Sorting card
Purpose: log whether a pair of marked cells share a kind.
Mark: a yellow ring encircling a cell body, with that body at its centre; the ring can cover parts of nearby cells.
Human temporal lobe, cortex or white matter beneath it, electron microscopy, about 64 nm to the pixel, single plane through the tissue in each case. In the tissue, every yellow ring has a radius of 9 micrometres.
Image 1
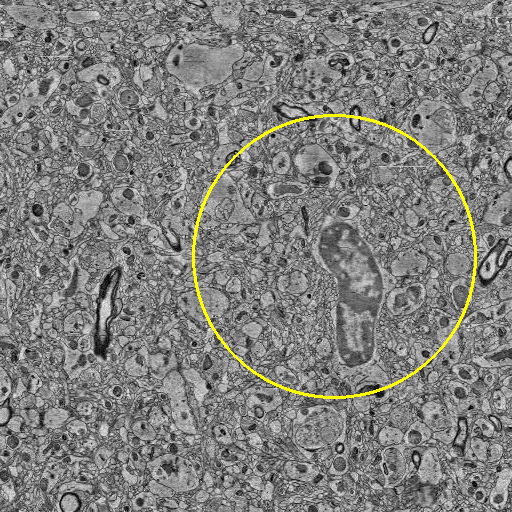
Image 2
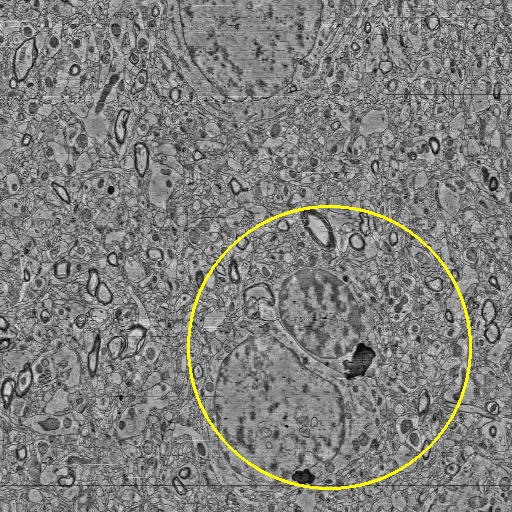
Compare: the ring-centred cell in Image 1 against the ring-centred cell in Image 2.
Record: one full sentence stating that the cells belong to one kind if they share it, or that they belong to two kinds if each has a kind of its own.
Across Images 1 and 2, the two ring-centred cells belong to two kinds.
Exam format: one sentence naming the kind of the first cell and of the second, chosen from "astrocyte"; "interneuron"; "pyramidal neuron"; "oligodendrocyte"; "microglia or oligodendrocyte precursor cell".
The first picture's cell is a microglial cell or oligodendrocyte precursor cell, and the second picture's cell is an oligodendrocyte.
